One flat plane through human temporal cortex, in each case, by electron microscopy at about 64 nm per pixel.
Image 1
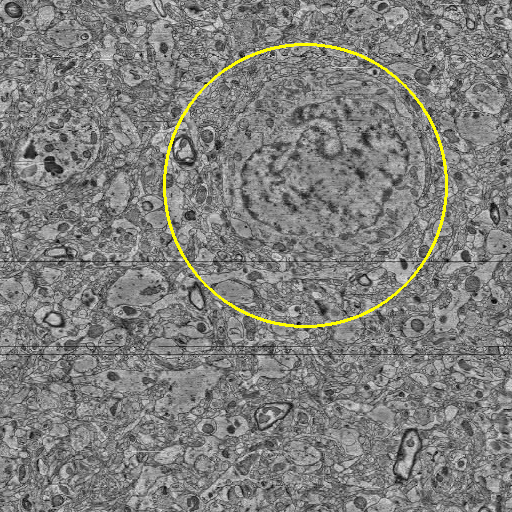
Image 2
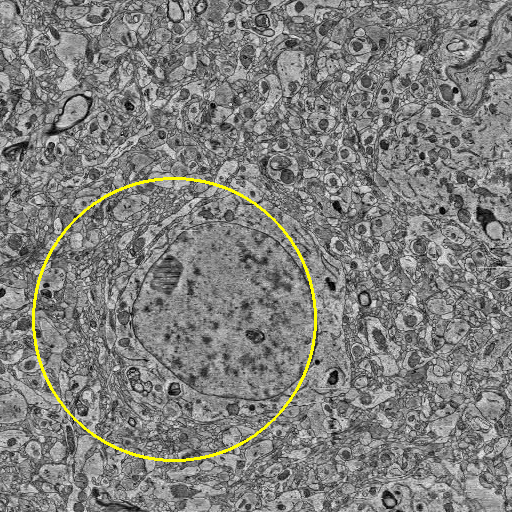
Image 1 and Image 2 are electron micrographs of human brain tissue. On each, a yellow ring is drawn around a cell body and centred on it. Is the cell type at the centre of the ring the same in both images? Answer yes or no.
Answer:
no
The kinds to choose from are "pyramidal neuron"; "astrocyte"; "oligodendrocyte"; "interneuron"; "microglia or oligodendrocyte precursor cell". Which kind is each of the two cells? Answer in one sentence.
Of the two, the first cell is an interneuron and the second cell is a pyramidal neuron.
